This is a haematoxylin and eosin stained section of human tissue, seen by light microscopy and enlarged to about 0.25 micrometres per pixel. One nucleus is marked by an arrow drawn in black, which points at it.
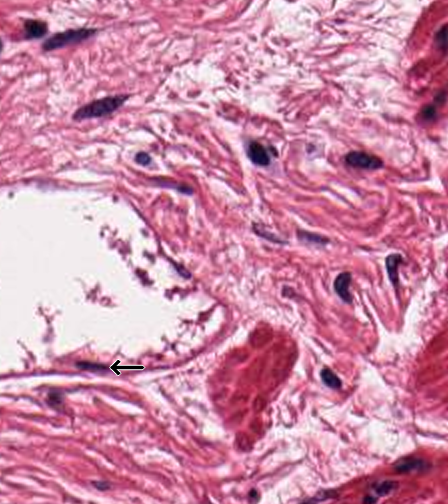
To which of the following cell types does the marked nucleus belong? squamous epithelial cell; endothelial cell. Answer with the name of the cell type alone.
endothelial cell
